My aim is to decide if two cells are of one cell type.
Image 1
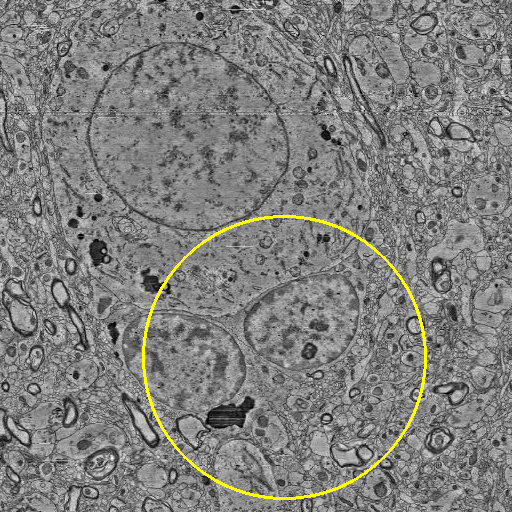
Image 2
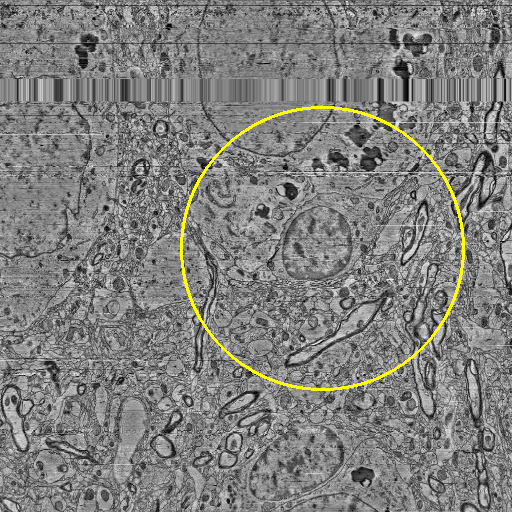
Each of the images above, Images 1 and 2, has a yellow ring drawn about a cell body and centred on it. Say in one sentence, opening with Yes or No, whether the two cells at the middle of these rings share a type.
Yes, in Images 1 and 2 the cells at the middle of the rings share one type.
